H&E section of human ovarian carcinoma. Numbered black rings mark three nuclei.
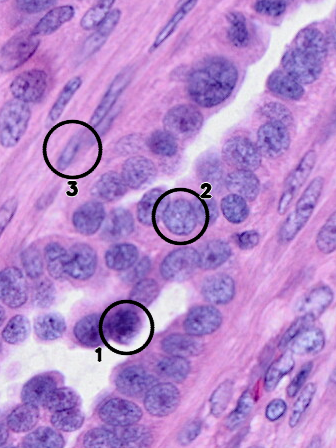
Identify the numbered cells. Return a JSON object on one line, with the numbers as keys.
{"1": "carcinoma cell", "2": "carcinoma cell", "3": "fibroblast"}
